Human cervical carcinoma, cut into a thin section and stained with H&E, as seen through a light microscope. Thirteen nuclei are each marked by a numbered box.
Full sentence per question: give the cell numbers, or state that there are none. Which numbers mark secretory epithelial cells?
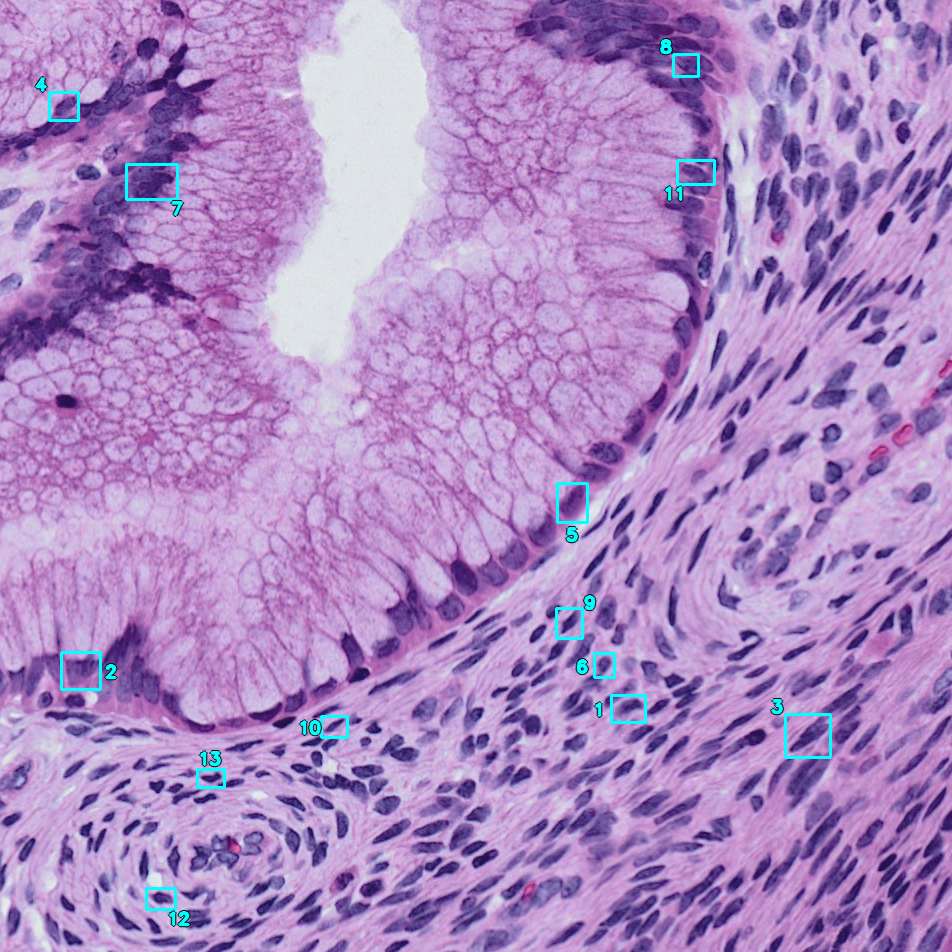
Into the category of secretory epithelial cells fall the cells numbered 2, 4, 5, 7, 8 and 11.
